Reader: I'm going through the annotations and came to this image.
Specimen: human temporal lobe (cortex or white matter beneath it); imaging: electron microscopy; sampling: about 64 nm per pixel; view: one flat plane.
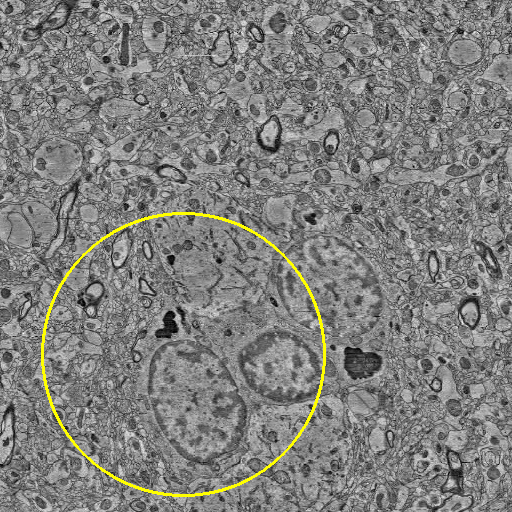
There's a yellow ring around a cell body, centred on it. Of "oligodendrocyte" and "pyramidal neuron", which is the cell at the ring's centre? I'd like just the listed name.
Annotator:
oligodendrocyte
